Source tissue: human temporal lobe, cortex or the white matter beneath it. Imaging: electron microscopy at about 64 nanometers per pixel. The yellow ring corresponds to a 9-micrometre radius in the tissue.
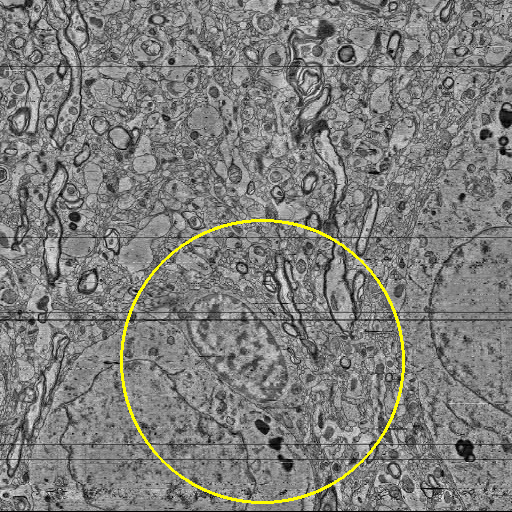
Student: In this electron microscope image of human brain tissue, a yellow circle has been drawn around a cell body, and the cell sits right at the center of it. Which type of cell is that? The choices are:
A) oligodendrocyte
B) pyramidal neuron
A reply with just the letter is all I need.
A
